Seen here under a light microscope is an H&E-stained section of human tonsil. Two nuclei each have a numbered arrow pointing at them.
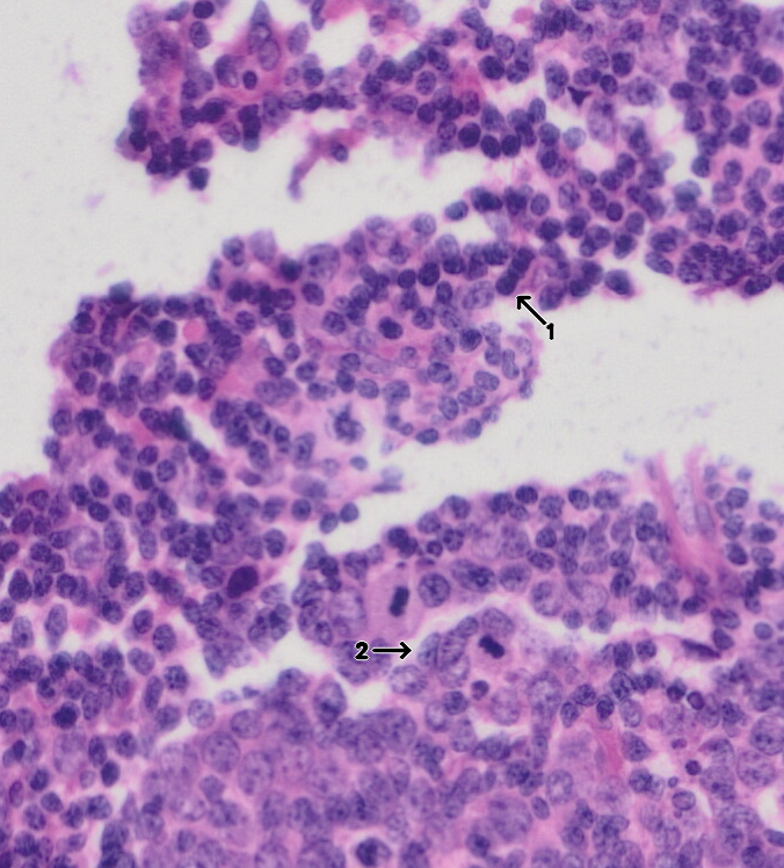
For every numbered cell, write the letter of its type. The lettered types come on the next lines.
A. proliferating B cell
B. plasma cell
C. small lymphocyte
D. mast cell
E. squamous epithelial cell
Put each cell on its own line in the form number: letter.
1: C
2: A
